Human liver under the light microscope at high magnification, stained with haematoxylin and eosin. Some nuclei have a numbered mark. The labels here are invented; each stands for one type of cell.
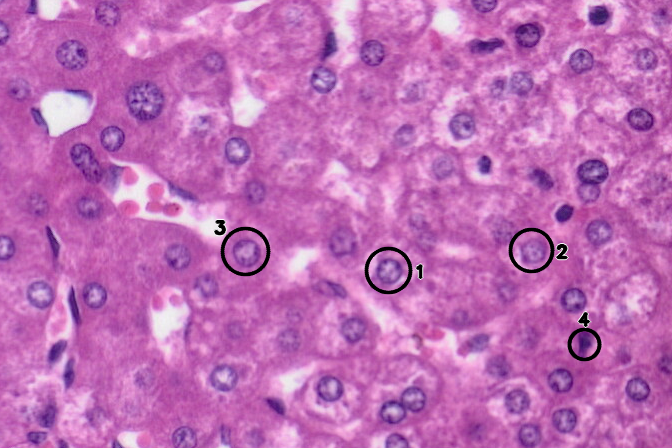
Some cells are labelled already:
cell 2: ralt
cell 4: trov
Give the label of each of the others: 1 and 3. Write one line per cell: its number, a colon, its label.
1: ralt
3: ralt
